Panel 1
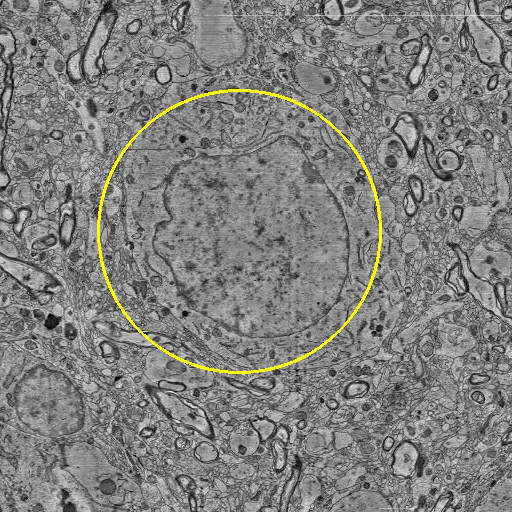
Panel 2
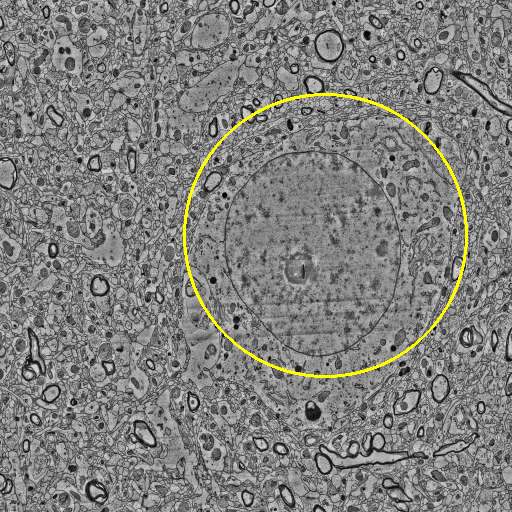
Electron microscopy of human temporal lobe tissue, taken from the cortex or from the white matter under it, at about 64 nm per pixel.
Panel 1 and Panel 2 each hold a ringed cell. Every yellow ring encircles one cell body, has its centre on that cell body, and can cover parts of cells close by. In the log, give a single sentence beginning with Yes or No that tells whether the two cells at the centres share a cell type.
No, in Panel 1 and Panel 2 the centred cells are of two cell types.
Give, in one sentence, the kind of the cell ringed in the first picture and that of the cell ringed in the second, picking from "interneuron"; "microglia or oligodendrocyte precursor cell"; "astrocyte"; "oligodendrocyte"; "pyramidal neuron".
For the first picture it is an interneuron; for the second, a pyramidal neuron.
